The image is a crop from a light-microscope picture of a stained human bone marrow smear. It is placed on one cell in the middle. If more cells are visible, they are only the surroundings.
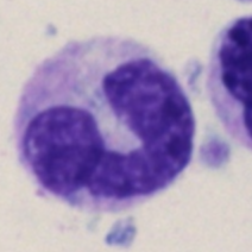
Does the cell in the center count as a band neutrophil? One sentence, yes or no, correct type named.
Yes, the cell found at the centre of the crop is a band neutrophil.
